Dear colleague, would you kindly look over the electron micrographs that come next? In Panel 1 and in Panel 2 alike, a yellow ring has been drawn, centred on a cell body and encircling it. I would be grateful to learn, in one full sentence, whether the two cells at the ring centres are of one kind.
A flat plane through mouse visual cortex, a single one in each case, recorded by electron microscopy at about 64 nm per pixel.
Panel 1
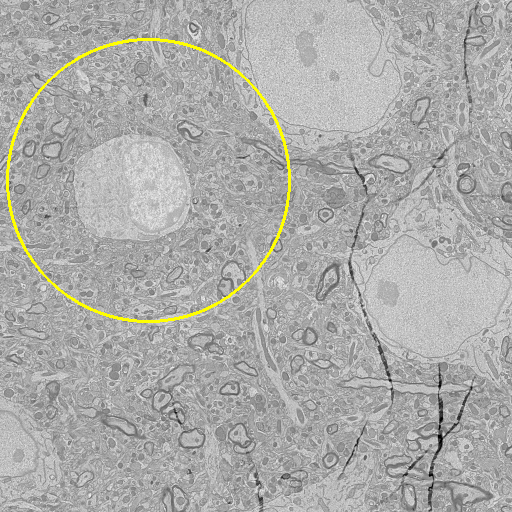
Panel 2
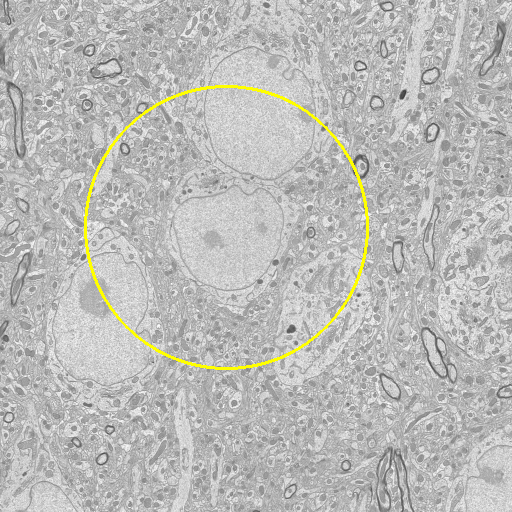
No, the cells in the middle of the rings in the two panels are of two kinds.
